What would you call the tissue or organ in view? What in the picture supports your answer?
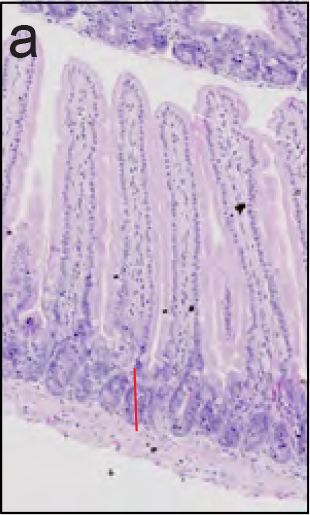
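Long slender finger-like villi project from the mucosa. Short glands form a basal layer beneath the villi. A thin muscular wall lies at the bottom of the section.
Conclusion: intestine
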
